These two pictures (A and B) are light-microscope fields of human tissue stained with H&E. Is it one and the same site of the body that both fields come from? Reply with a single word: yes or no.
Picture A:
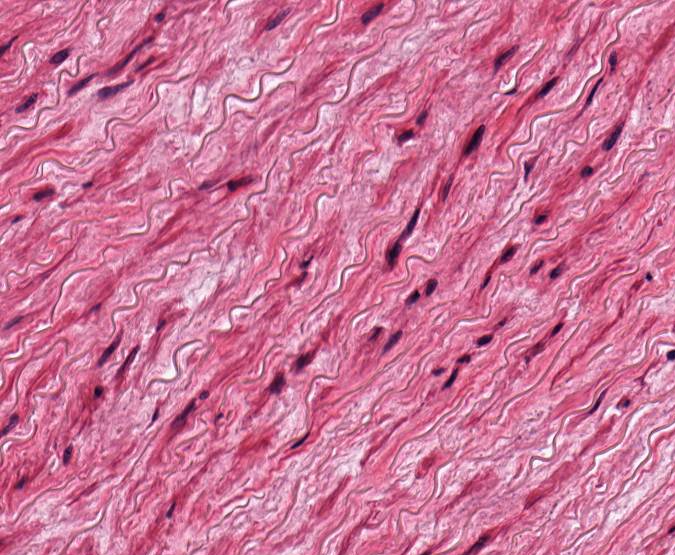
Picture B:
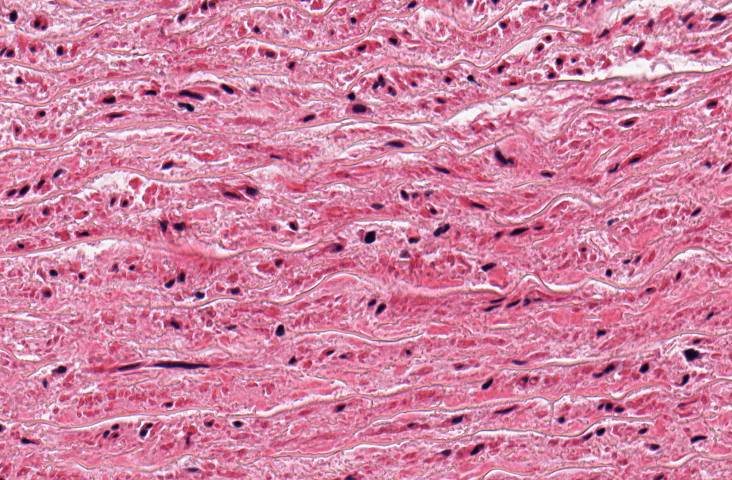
yes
